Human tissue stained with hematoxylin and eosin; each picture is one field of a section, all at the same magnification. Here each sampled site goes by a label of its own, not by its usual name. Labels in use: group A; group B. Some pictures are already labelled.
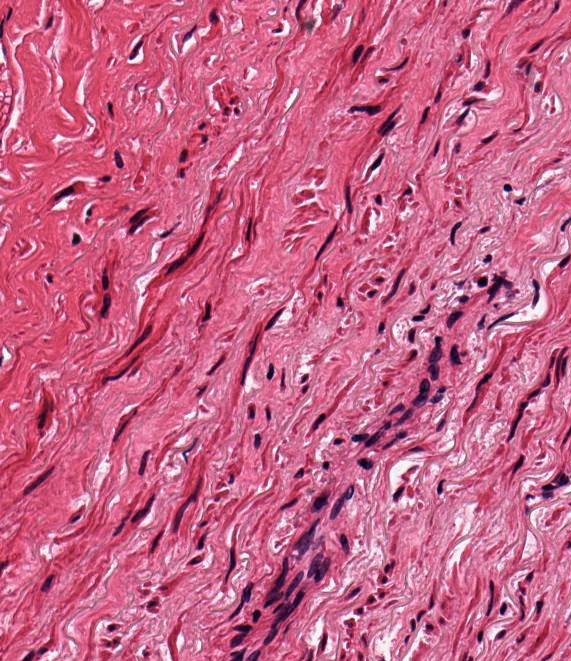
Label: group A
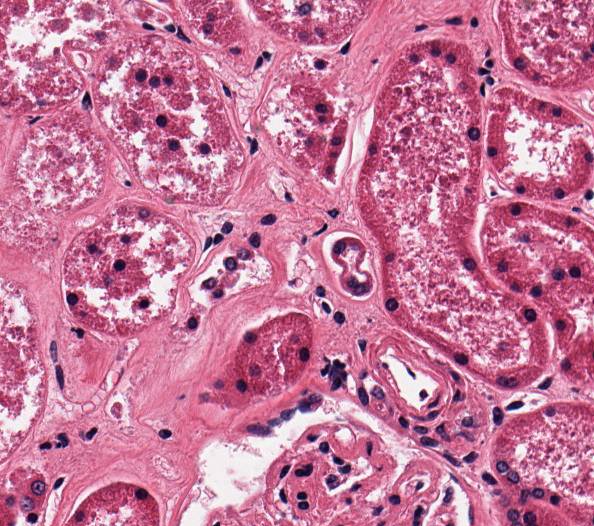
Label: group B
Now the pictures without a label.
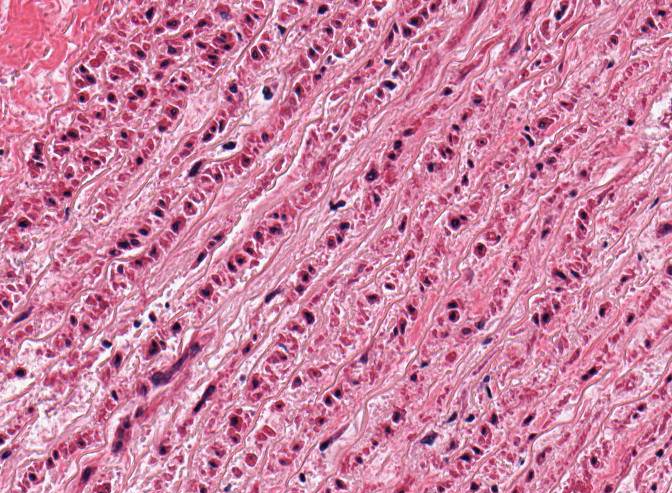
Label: group A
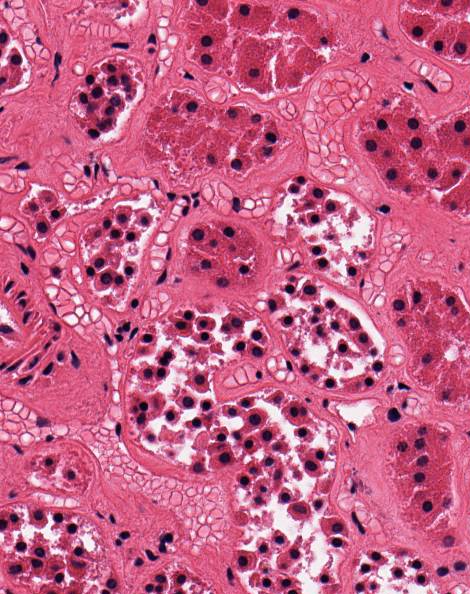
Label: group B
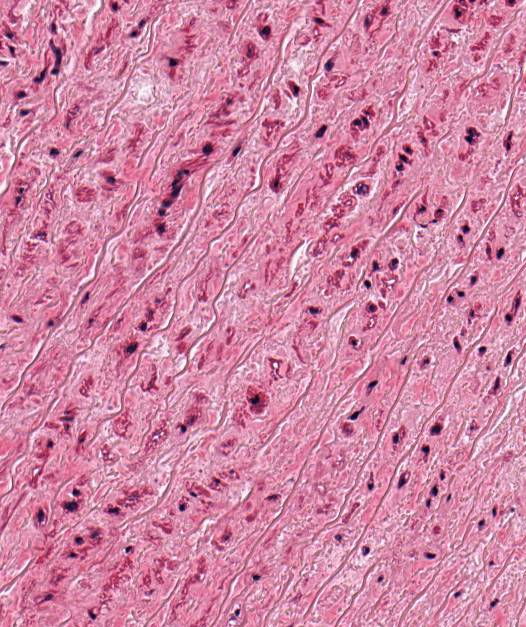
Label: group A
